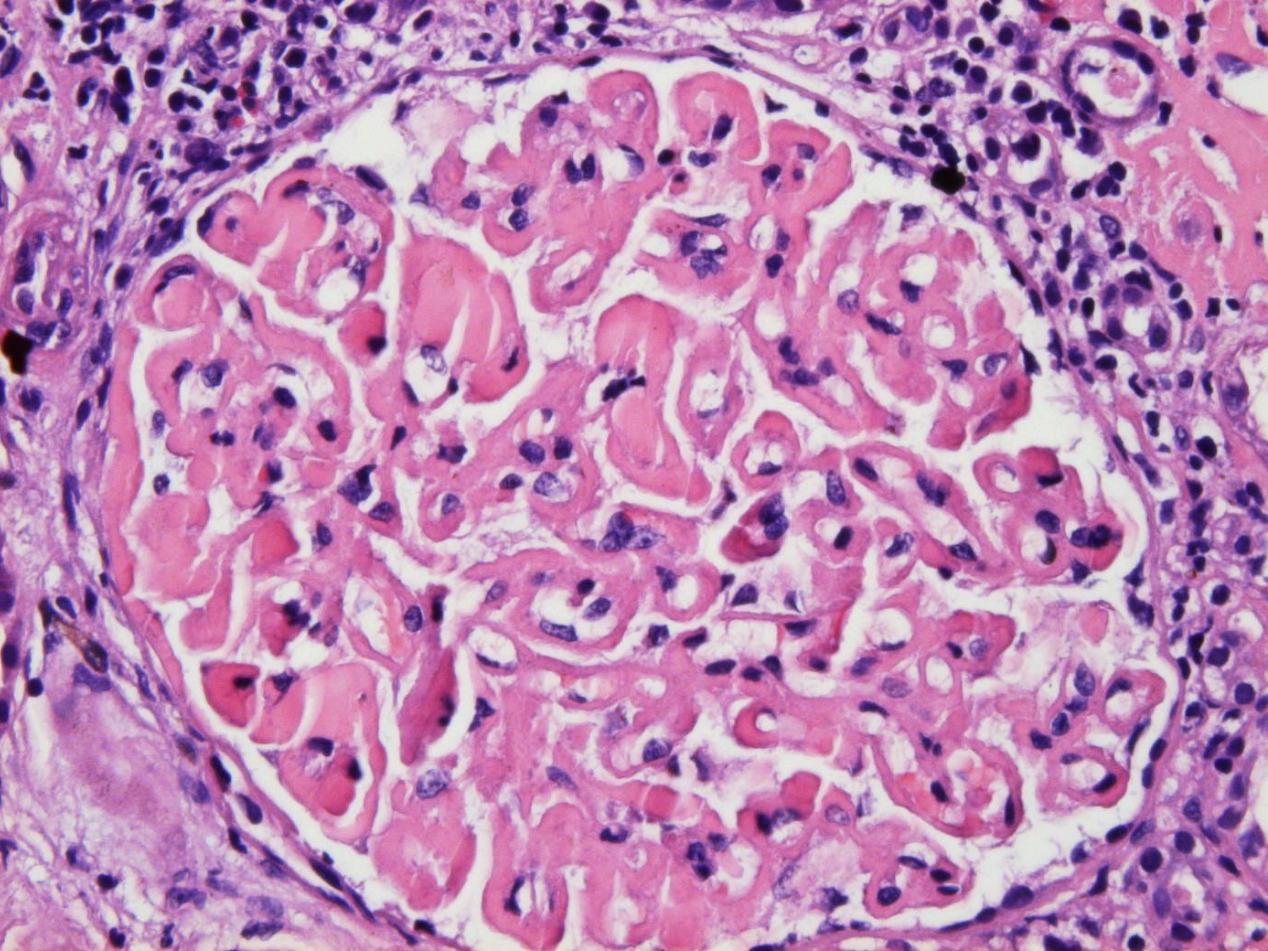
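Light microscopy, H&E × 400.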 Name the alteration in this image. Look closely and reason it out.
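Capillary loop walls throughout the glomerulus are broad, smooth and pink. The thickened pink material is homogeneous, without cells in it. That points to this answer: eosinophilic thickening of the glomerular basement membrane.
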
